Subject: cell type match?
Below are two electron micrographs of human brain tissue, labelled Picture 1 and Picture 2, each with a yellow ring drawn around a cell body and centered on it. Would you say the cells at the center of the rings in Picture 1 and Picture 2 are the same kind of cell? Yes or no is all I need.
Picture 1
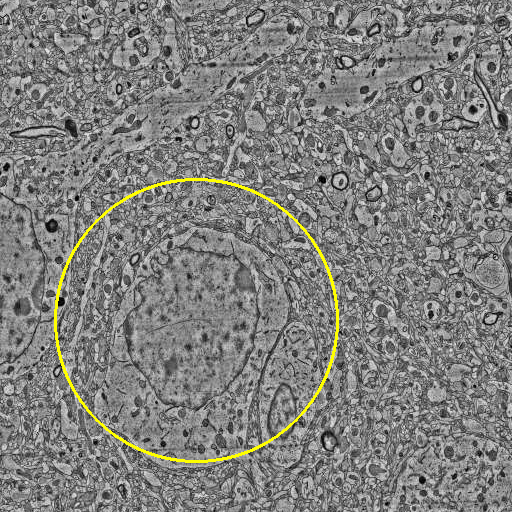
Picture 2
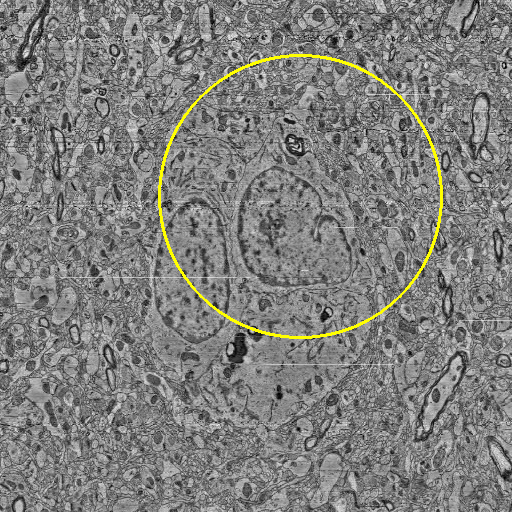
no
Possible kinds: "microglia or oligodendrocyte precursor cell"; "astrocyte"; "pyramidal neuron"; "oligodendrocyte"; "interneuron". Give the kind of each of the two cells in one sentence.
The cell in the second picture is a microglial cell or oligodendrocyte precursor cell, and that in the first is an interneuron.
